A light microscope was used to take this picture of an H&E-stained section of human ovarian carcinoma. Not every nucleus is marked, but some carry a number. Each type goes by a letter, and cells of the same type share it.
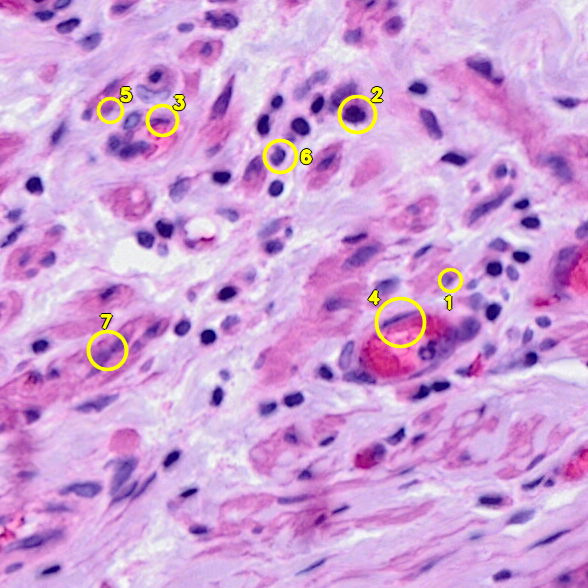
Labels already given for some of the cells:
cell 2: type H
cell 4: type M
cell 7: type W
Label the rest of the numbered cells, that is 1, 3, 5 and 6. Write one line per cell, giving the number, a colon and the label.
1: type W
3: type M
5: type W
6: type H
